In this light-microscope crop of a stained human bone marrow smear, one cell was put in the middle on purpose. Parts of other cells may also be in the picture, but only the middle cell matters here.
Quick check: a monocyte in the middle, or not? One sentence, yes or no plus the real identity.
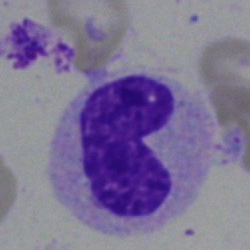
No, wrong label: the middle cell is a band neutrophil instead of a monocyte.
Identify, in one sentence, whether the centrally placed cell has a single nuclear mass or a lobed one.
What stands out is a nucleus forming one compact round, oval or kidney-shaped mass.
